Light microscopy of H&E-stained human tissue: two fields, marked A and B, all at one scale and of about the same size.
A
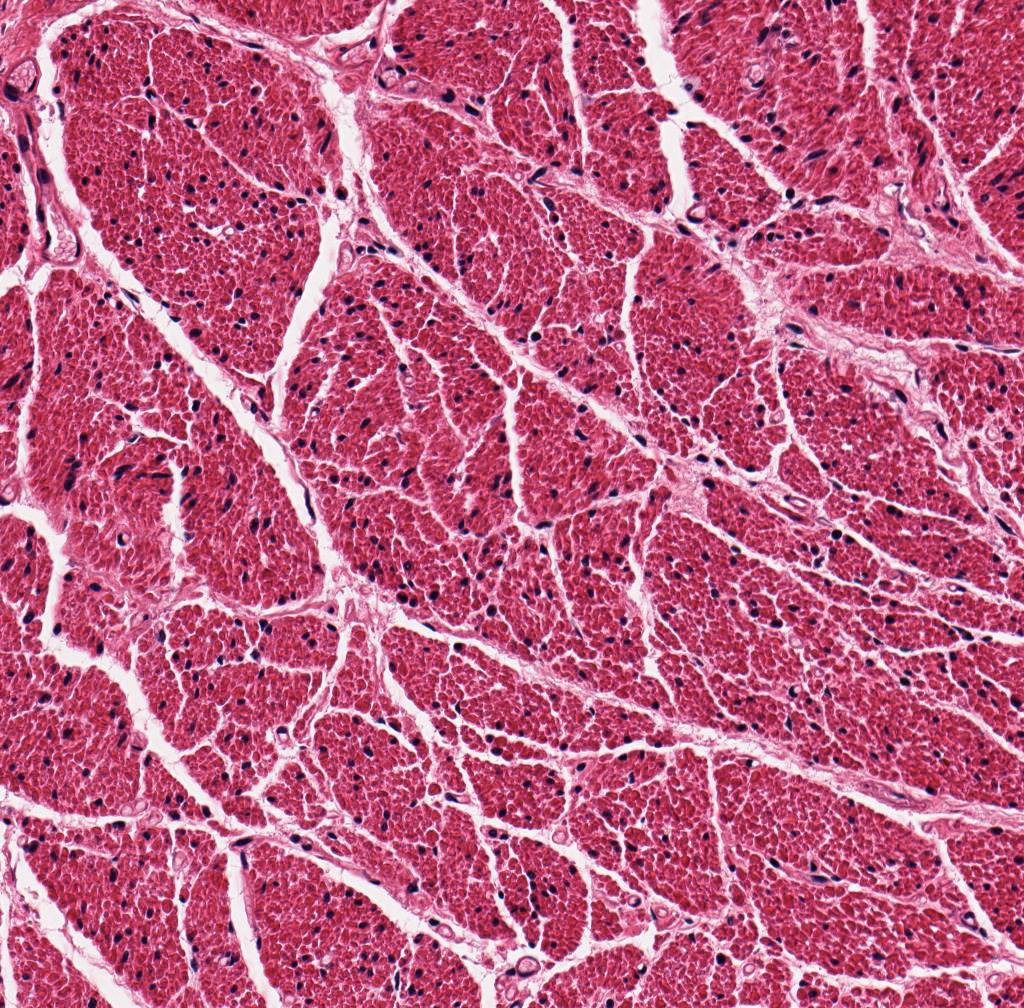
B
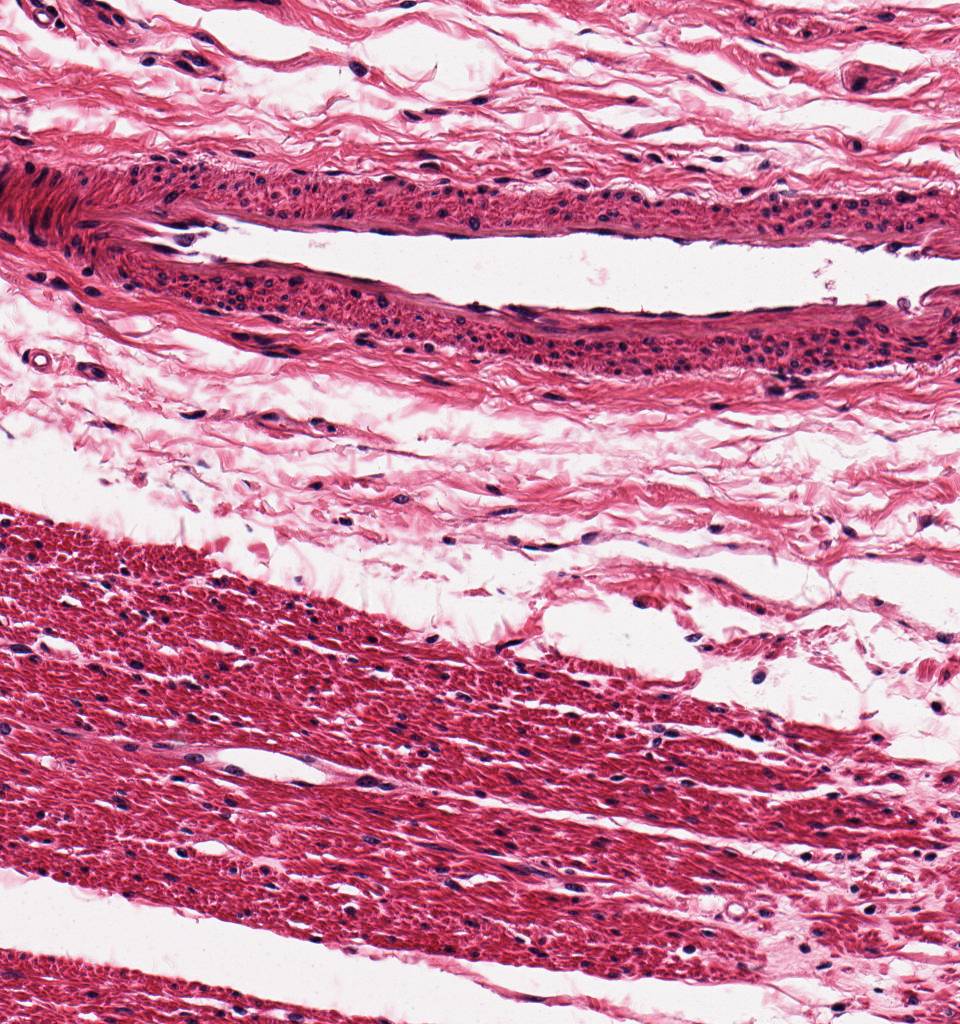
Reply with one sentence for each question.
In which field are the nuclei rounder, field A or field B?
The nuclei are rounder in field A.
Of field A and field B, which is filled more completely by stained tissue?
Unstained space takes up less of field A than of field B.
